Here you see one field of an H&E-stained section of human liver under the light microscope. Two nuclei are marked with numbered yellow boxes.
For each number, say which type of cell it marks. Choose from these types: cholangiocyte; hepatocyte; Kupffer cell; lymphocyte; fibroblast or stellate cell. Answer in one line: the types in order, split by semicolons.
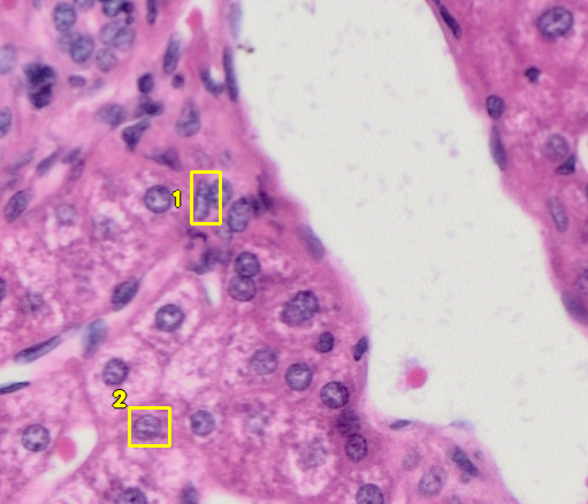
cholangiocyte; hepatocyte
